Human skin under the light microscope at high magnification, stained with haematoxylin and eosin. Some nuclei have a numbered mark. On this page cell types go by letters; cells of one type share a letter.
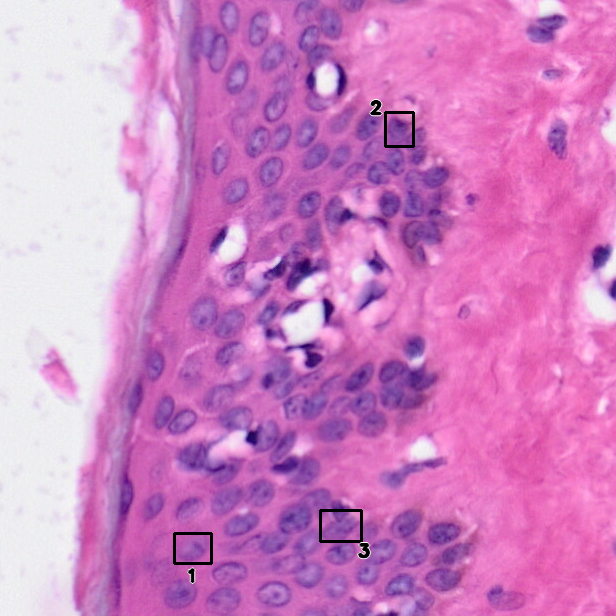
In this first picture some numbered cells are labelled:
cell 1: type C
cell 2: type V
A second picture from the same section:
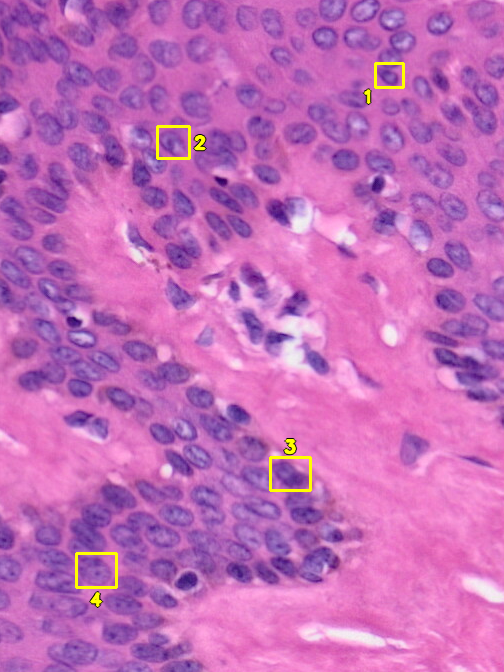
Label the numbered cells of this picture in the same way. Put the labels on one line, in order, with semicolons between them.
type C; type C; type V; type C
